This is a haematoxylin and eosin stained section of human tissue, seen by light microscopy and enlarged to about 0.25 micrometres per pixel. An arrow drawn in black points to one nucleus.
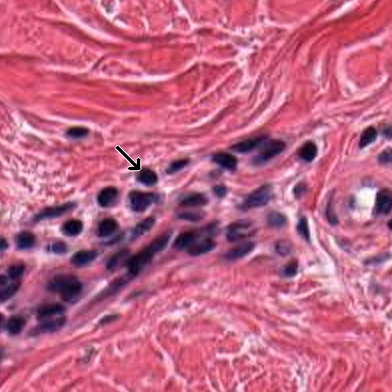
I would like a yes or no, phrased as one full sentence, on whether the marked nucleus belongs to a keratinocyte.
No, the marked nucleus is not part of a keratinocyte and instead belongs to a supporting cell.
